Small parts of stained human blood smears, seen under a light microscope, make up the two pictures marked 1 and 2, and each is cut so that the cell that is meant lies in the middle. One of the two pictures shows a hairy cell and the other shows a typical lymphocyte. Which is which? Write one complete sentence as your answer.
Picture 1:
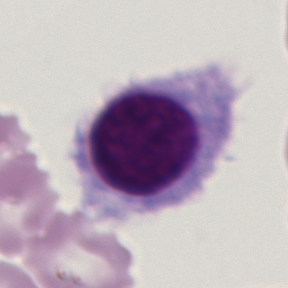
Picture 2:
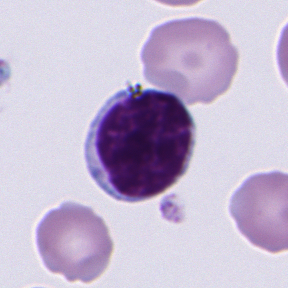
Picture 1 is of a hairy cell, and picture 2 is of a typical lymphocyte.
